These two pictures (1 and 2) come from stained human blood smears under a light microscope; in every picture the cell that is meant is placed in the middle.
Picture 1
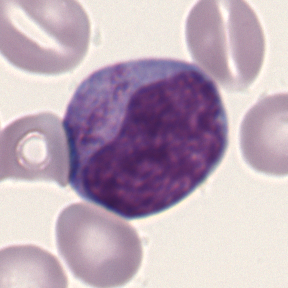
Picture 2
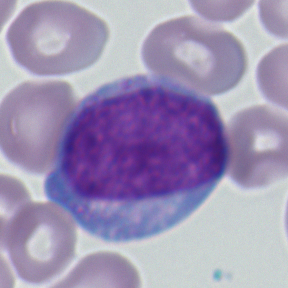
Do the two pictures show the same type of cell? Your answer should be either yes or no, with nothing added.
yes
